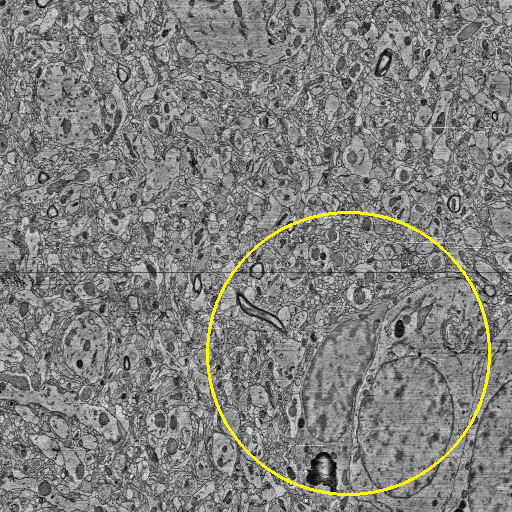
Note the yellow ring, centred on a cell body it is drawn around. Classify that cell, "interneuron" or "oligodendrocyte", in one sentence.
The cell the ring is centred on is an oligodendrocyte.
